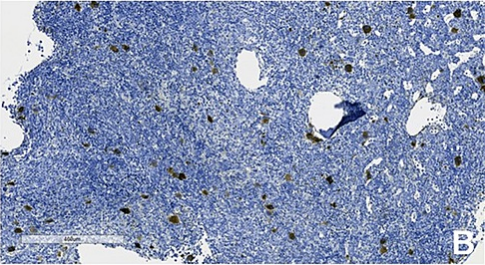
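This is densely cellular bone marrow in which large megakaryocytes stand out in brown against a blue background. The brown cells are much larger than the surrounding cells and are irregular to rounded in outline. They are scattered singly across the whole field and are numerous. The background consists of closely packed small cells with blue-stained nuclei, interrupted by a few empty spaces.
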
